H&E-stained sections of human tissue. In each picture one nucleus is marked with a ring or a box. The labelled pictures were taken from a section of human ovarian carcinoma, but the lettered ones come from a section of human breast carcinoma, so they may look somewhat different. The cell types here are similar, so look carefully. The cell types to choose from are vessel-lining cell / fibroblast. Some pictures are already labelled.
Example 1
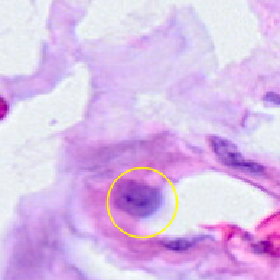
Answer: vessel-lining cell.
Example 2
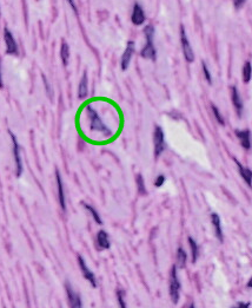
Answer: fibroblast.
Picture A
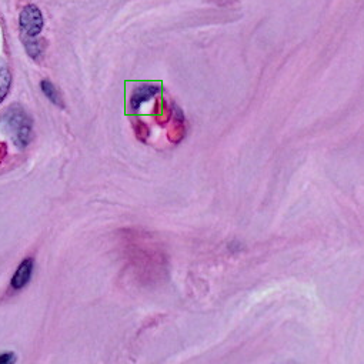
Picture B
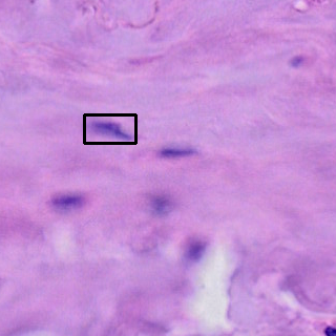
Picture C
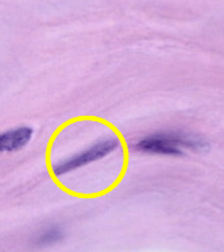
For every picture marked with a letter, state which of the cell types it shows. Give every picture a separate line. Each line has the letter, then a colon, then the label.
A: vessel-lining cell.
B: fibroblast.
C: fibroblast.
